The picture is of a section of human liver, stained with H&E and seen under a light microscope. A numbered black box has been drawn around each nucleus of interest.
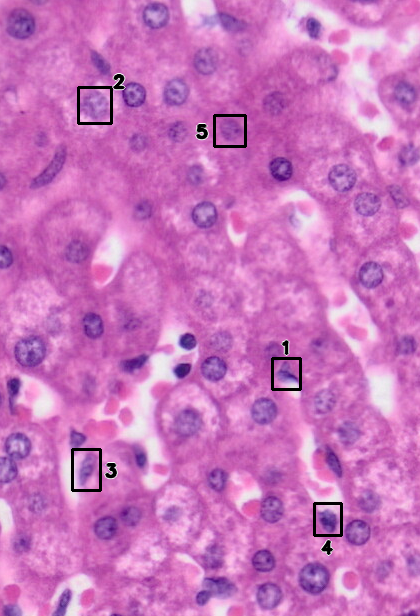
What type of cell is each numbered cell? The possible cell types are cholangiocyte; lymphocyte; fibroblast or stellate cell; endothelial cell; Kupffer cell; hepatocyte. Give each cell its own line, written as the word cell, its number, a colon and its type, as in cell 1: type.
cell 1: endothelial cell
cell 2: hepatocyte
cell 3: Kupffer cell
cell 4: fibroblast or stellate cell
cell 5: hepatocyte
